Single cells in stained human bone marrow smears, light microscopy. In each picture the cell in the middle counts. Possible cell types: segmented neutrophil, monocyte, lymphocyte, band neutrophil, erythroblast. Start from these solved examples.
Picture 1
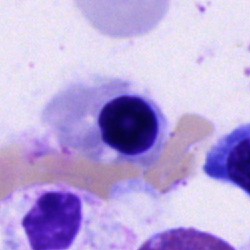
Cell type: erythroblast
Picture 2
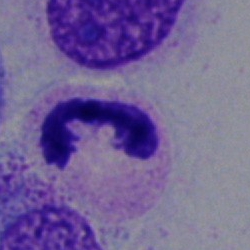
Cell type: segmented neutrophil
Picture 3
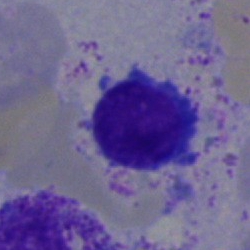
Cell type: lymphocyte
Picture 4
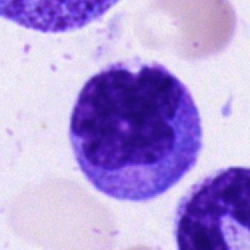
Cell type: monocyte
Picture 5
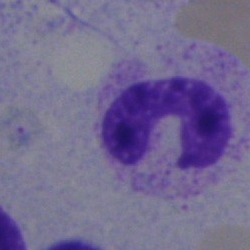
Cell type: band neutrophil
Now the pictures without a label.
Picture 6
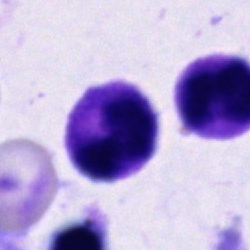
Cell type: segmented neutrophil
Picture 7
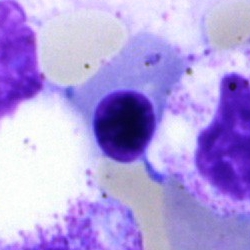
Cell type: erythroblast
